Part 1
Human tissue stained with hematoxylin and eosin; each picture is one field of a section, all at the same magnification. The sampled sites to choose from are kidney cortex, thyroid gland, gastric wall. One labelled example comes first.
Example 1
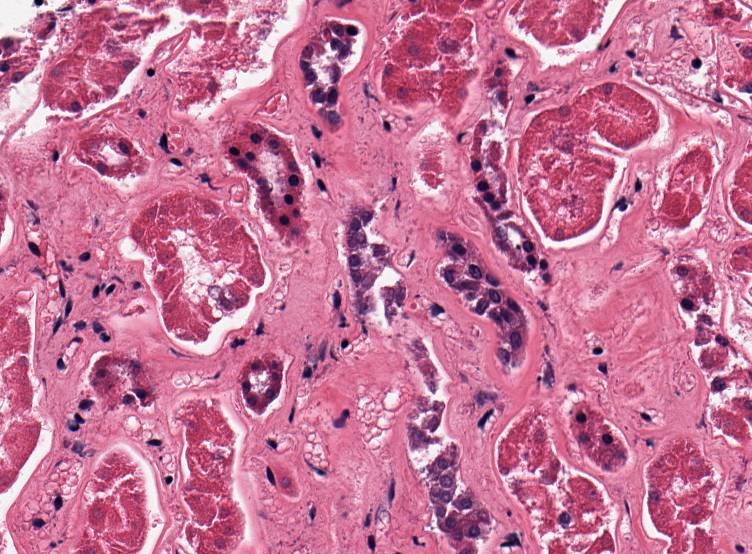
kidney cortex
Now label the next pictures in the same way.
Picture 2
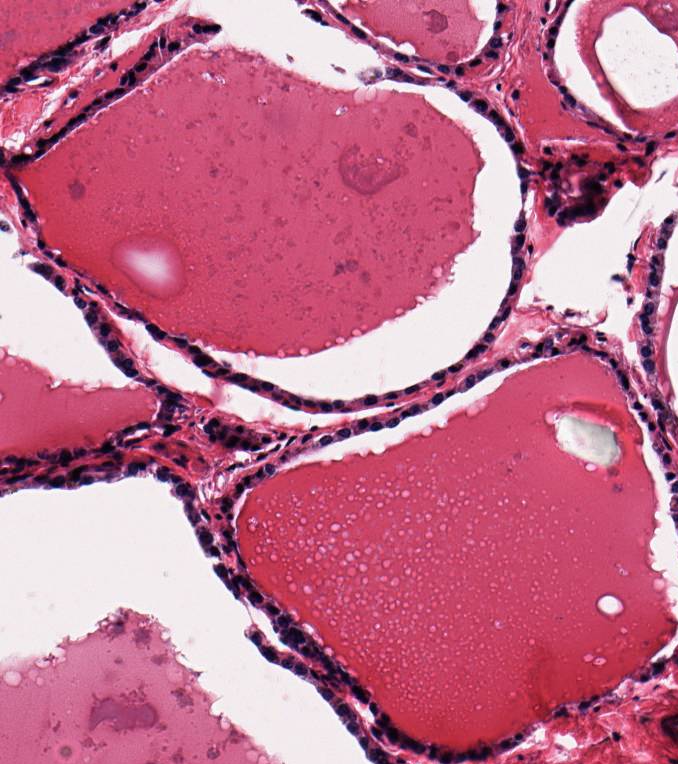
thyroid gland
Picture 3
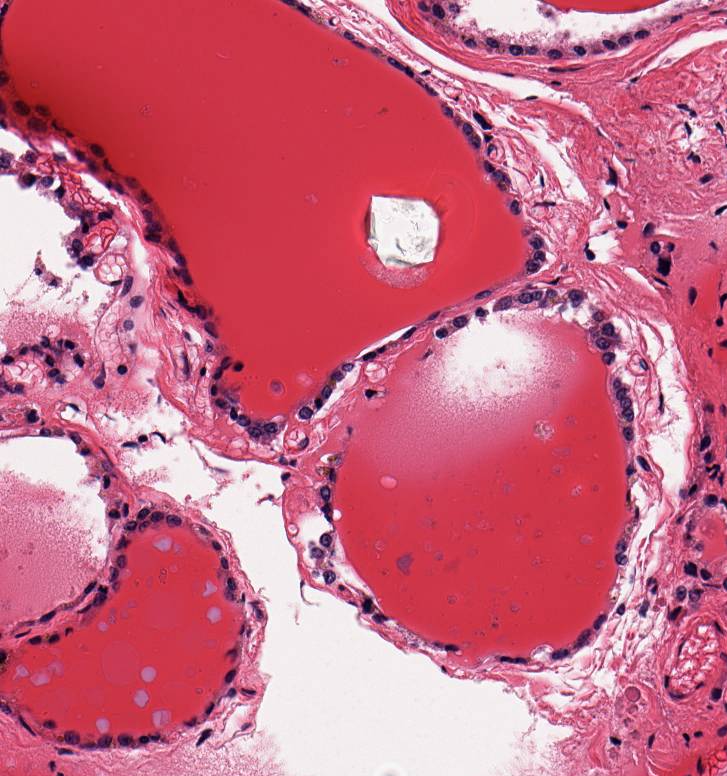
thyroid gland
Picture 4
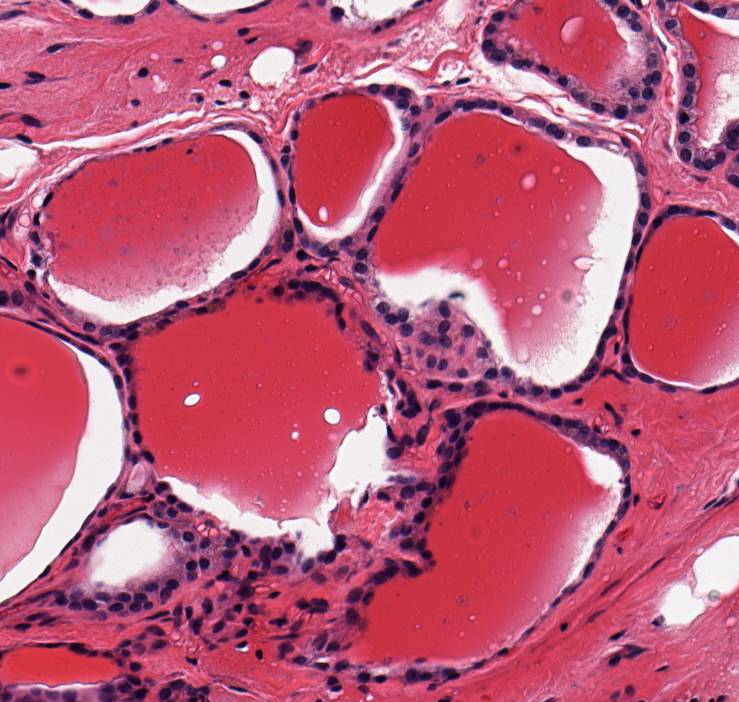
thyroid gland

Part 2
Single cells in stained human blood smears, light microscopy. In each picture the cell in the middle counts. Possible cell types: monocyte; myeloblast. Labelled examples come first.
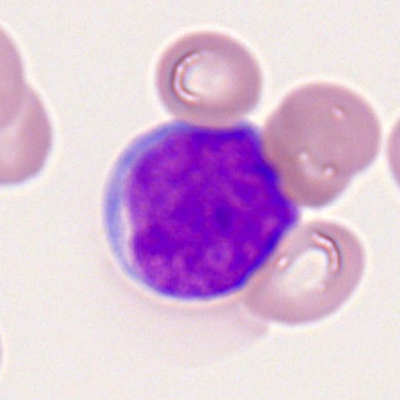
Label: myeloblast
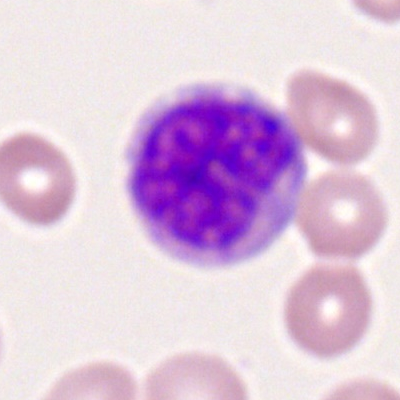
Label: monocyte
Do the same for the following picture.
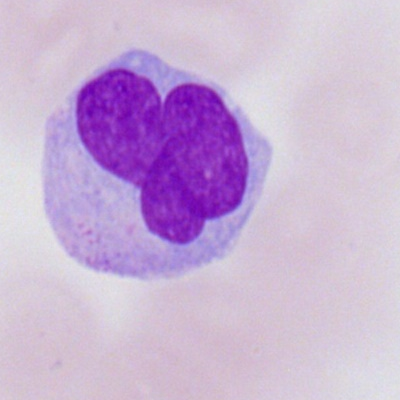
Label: monocyte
